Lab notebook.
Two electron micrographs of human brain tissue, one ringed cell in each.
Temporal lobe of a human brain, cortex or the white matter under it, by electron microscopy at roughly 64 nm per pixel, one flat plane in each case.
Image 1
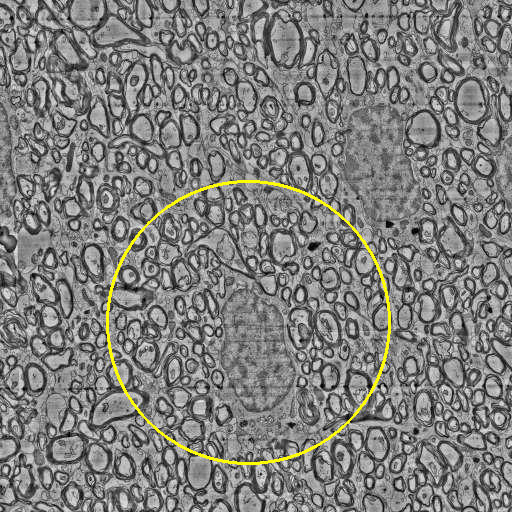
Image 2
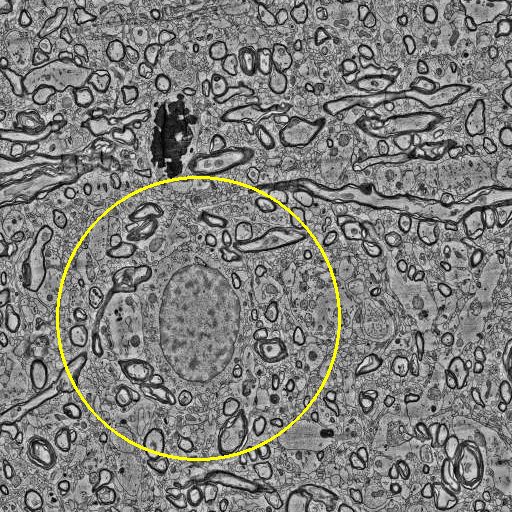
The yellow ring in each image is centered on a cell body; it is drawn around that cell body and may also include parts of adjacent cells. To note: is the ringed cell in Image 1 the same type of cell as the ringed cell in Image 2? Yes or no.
yes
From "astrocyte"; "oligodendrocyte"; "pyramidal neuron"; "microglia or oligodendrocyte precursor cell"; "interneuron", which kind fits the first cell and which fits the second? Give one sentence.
The first and the second cell are each an oligodendrocyte.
